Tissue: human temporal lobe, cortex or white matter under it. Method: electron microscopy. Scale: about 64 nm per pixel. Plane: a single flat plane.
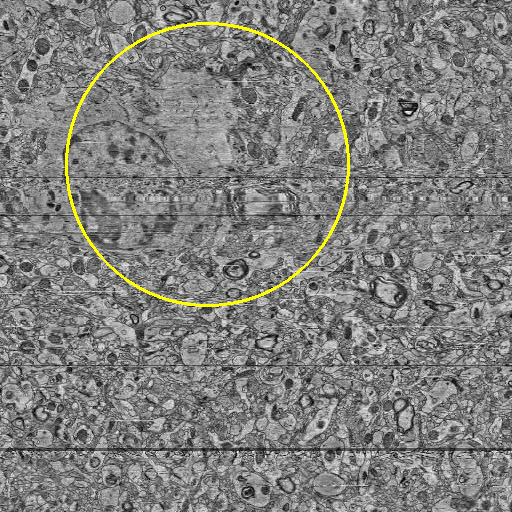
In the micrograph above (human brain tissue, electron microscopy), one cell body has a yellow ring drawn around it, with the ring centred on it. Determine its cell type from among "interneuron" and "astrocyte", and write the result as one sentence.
The cell whose body is ringed is an astrocyte.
